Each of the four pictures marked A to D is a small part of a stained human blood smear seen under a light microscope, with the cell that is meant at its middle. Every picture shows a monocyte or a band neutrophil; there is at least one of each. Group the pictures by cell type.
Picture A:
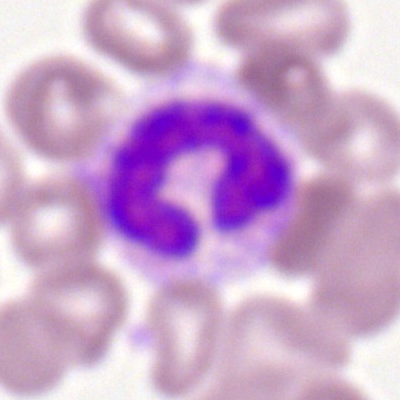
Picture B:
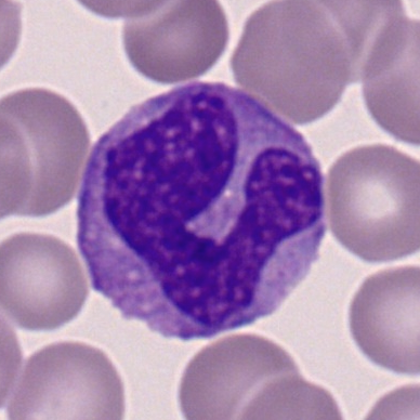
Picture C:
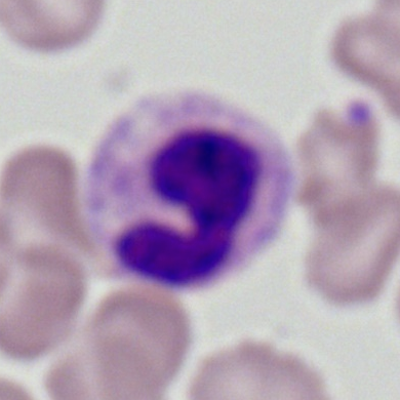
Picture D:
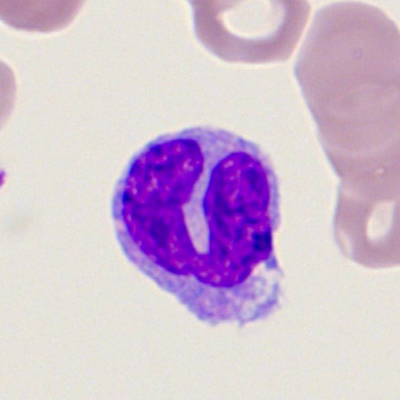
A: band neutrophil
B: monocyte
C: band neutrophil
D: monocyte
